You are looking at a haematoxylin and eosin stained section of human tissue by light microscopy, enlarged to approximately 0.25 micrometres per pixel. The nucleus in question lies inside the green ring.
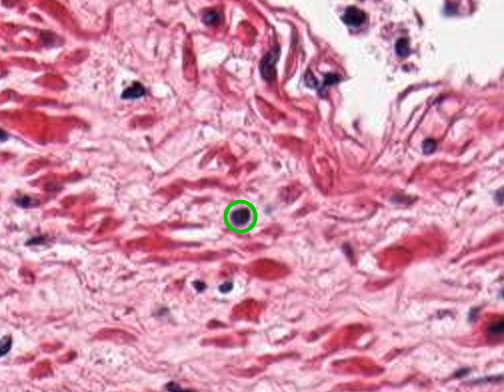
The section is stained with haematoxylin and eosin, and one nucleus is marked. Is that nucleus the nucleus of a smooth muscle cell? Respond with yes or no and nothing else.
no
